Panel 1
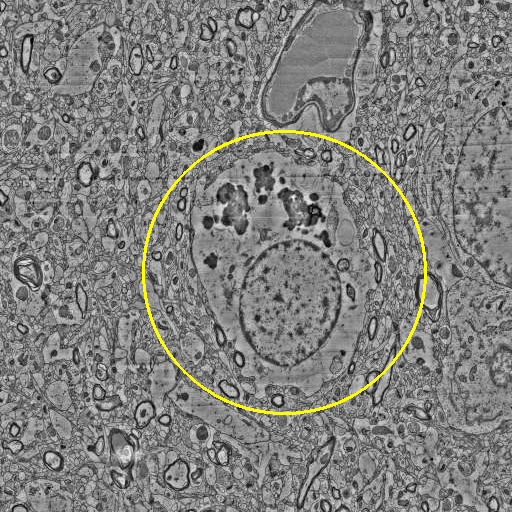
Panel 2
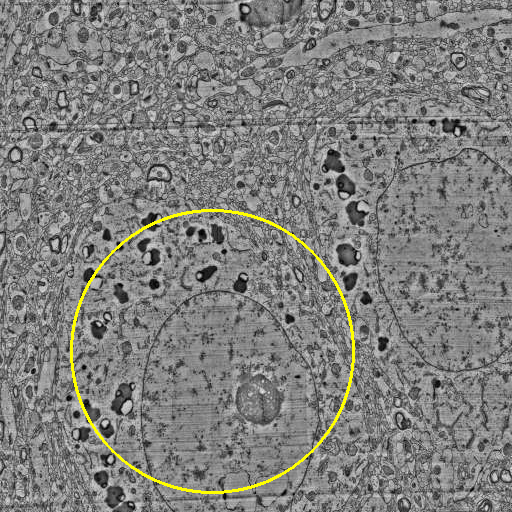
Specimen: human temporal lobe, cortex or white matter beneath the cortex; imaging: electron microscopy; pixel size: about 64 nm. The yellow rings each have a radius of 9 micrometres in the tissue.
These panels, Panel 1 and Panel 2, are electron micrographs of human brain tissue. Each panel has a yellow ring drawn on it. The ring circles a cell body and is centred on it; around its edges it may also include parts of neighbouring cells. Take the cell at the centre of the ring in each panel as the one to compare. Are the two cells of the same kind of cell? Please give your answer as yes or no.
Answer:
no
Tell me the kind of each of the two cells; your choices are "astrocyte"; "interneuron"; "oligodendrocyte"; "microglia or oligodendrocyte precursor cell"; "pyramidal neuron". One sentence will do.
The ringed cell is an astrocyte in the first picture and a pyramidal neuron in the second picture.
